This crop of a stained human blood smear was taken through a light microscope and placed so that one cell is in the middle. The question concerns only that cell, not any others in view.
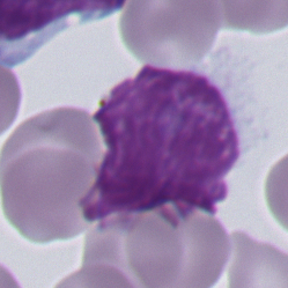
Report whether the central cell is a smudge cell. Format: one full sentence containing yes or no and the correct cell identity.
Yes, the middle cell is properly termed a smudge cell.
